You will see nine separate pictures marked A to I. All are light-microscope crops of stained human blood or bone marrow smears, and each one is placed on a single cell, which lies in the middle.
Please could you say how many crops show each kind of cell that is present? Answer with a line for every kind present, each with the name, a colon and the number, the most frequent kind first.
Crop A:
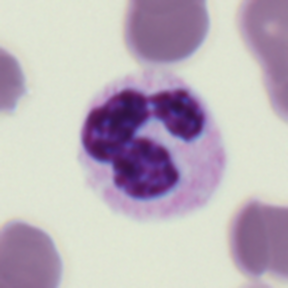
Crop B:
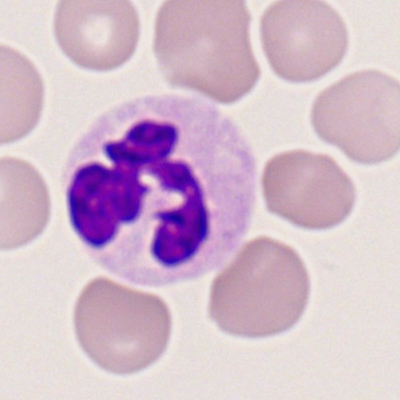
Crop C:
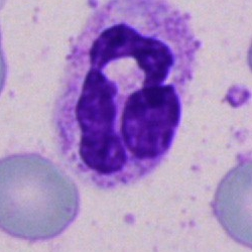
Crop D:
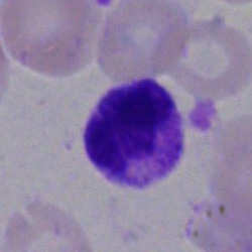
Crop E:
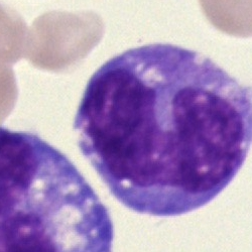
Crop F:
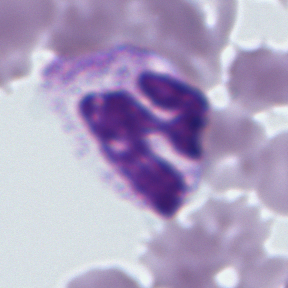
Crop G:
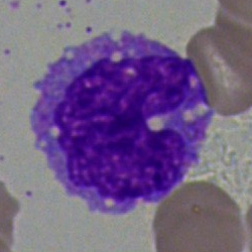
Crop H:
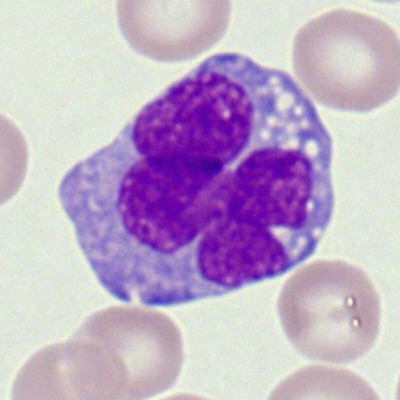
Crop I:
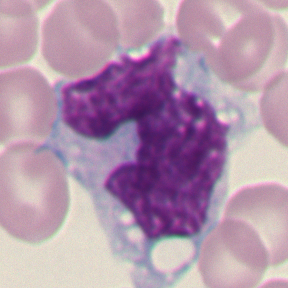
segmented neutrophil: 5
monocyte: 4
